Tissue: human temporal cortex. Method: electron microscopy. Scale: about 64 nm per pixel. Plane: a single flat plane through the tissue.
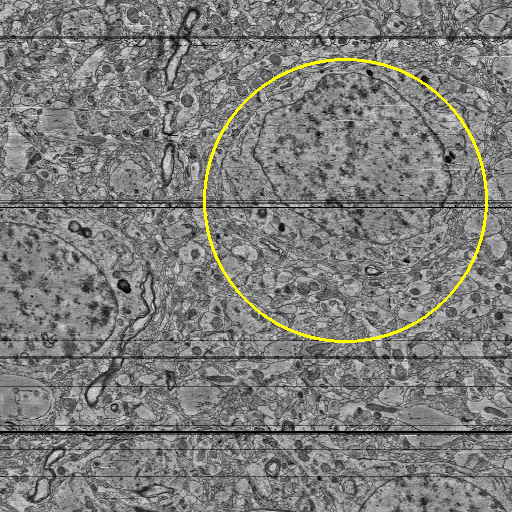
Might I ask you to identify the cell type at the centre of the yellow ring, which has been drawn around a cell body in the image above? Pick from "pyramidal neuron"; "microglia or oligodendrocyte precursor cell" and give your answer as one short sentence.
The centre of the ring falls on a pyramidal neuron.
